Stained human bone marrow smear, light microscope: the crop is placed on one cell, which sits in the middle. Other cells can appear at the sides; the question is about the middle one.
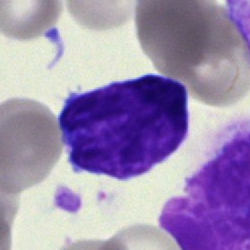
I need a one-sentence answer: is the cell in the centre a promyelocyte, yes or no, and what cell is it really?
No, it is a blast rather than a promyelocyte that the middle of the crop contains.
